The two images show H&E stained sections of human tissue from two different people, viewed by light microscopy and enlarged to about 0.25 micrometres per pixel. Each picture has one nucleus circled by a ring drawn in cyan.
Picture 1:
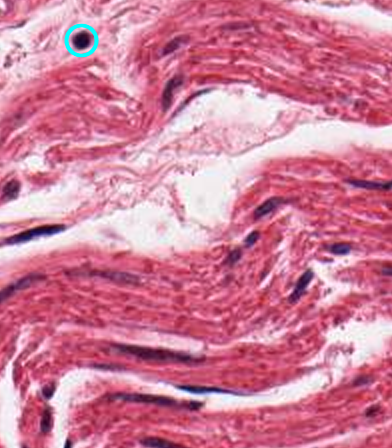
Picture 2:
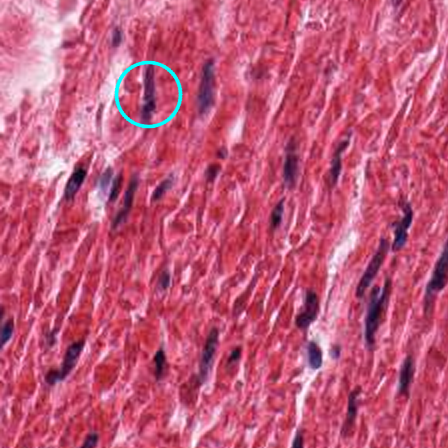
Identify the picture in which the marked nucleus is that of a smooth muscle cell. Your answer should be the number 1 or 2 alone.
2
